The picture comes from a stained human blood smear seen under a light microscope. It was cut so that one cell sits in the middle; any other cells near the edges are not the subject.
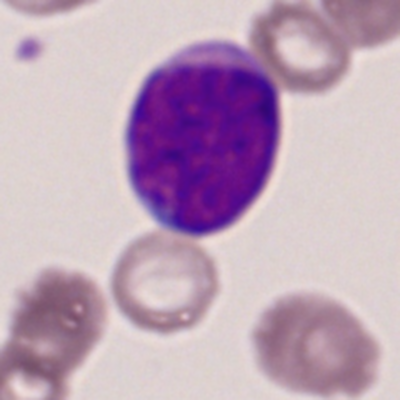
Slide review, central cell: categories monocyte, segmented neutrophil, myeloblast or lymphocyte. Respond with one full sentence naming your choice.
In the middle of this smear crop is a myeloblast.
